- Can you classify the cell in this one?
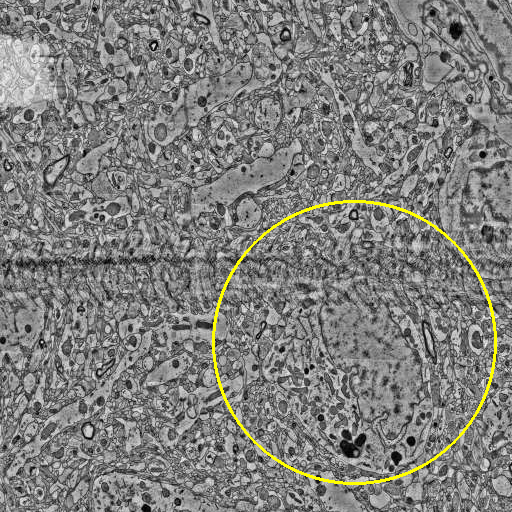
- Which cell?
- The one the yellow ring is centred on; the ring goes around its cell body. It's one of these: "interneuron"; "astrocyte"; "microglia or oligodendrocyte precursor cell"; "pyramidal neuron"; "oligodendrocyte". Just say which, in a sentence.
The cell body in the ring belongs to an interneuron.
